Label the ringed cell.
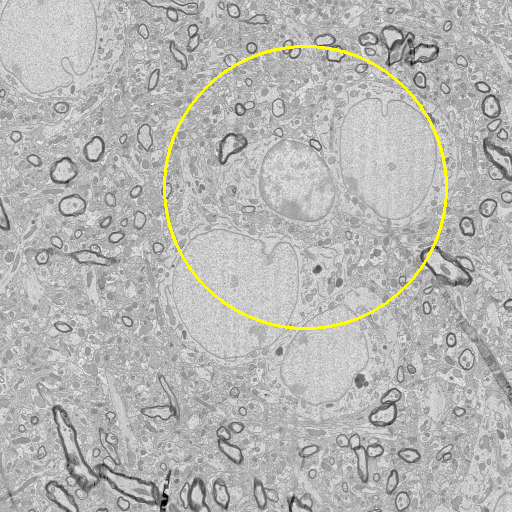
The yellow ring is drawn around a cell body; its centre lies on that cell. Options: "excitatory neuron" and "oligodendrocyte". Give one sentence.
The ringed cell is an oligodendrocyte.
